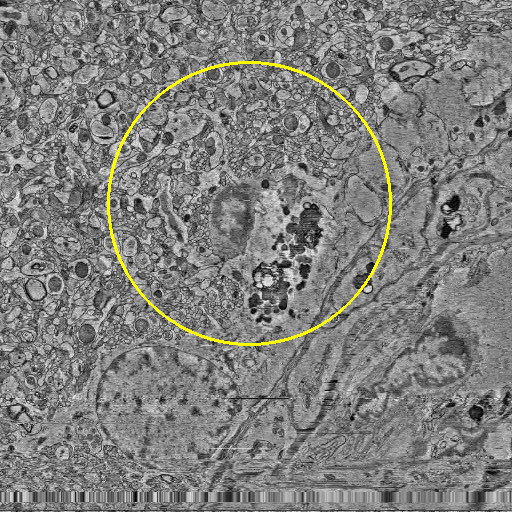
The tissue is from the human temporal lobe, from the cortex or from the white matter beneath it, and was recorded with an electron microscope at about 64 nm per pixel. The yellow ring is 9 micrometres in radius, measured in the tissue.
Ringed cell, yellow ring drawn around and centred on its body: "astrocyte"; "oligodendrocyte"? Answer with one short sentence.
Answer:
This ringed cell is an oligodendrocyte.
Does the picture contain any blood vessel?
Yes.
